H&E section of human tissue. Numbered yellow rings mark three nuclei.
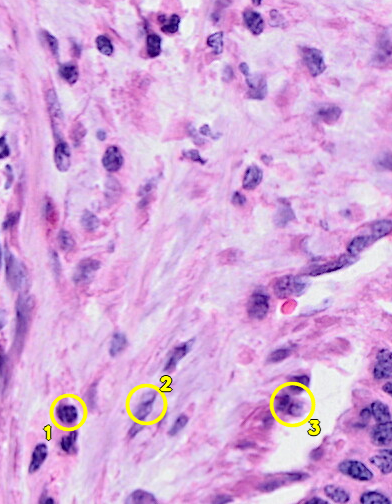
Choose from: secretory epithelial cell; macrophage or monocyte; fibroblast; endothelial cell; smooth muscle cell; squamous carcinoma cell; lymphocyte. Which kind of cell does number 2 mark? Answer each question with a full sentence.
The cell that goes by number 2 is a fibroblast.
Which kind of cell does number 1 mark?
The cell numbered 1 has been identified as a lymphocyte.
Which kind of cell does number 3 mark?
The marked nucleus 3 is that of a macrophage or monocyte.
